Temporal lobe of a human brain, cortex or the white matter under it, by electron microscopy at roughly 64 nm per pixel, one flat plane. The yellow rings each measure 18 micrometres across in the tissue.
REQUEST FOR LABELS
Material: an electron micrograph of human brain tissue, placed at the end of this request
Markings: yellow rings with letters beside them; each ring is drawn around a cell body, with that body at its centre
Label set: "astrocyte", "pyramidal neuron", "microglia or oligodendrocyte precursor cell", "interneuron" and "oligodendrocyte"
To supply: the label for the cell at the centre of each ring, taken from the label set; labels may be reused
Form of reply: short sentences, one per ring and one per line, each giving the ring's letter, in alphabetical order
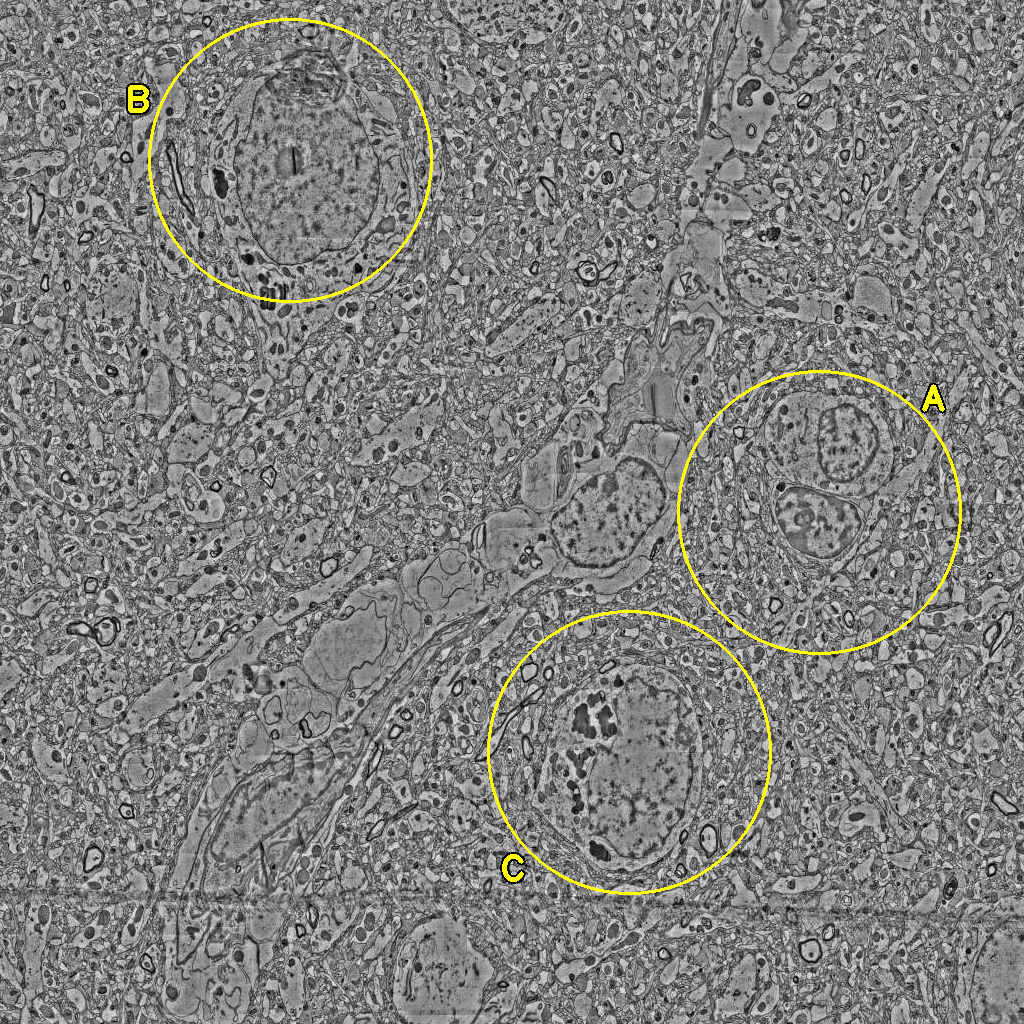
Ring A: the cell in the middle is a microglial cell or oligodendrocyte precursor cell.
Ring B: the cell in the middle is an interneuron.
Ring C: the cell in the middle is an interneuron.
